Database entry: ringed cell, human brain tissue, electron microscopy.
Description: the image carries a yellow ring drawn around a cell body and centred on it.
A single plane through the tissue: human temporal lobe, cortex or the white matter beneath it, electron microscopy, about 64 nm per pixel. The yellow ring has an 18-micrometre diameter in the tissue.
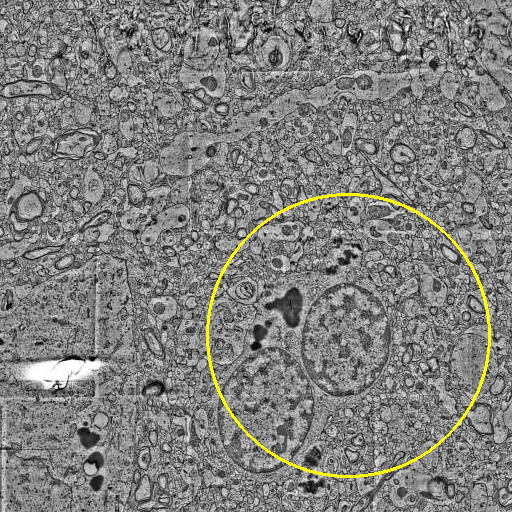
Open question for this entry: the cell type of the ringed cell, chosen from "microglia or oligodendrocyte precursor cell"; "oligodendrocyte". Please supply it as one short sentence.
The ringed cell is an oligodendrocyte.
